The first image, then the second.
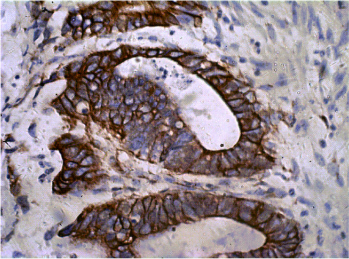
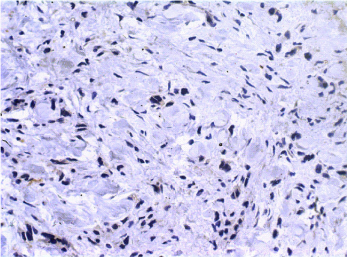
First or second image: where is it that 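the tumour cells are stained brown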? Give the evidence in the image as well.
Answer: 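The first image. First image: tumour cells are outlined and filled with brown.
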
